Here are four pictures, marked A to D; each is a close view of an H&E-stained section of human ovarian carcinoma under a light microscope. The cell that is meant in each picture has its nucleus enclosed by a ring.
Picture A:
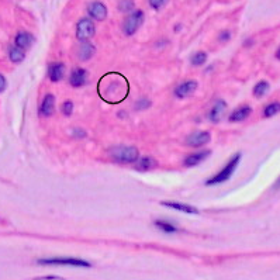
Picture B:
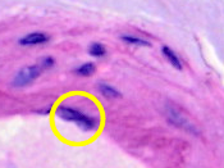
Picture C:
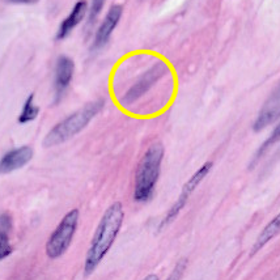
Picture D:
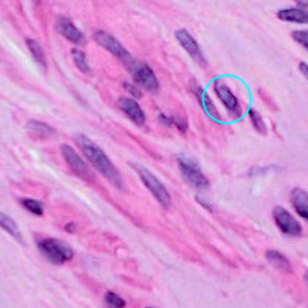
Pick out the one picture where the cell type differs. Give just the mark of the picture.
B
